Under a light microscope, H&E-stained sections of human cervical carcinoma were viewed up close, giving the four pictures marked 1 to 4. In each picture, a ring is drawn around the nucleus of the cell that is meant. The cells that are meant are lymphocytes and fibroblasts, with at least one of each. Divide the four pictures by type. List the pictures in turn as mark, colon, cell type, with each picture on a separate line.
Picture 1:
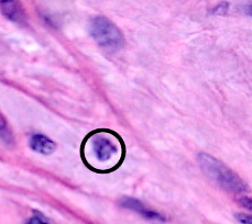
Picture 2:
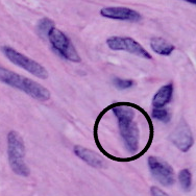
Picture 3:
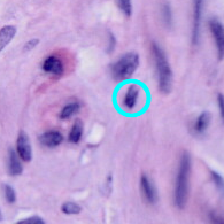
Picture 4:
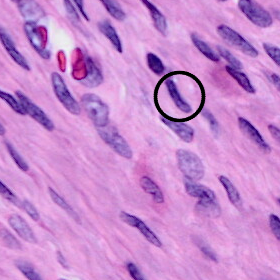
1: lymphocyte
2: fibroblast
3: fibroblast
4: fibroblast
